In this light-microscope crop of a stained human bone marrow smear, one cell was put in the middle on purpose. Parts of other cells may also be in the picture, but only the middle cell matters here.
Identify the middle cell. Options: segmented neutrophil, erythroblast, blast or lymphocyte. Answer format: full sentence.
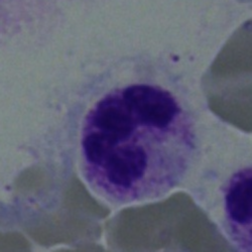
The cell that lies at the centre of the crop is a segmented neutrophil.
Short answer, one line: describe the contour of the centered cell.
The border of this cell runs smooth and free of any projections.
